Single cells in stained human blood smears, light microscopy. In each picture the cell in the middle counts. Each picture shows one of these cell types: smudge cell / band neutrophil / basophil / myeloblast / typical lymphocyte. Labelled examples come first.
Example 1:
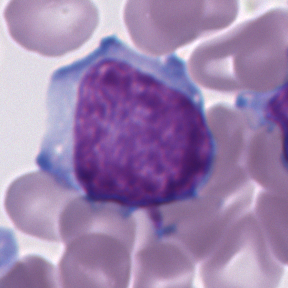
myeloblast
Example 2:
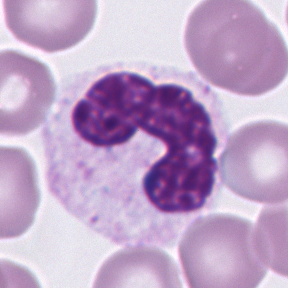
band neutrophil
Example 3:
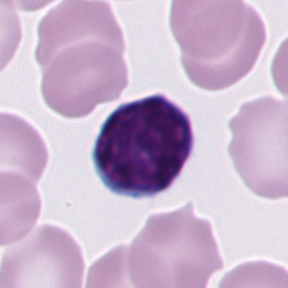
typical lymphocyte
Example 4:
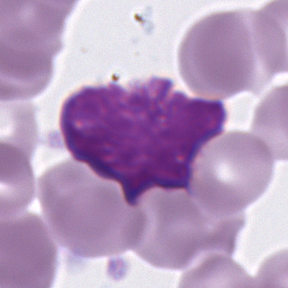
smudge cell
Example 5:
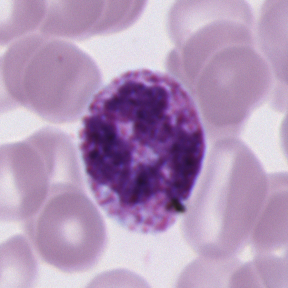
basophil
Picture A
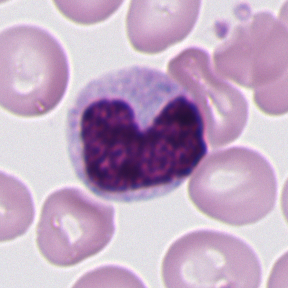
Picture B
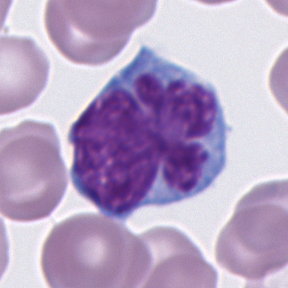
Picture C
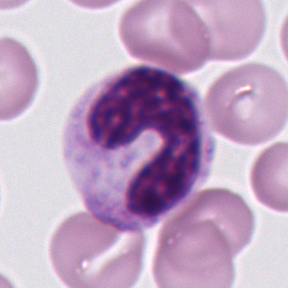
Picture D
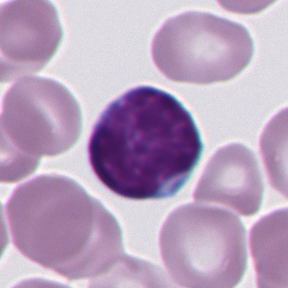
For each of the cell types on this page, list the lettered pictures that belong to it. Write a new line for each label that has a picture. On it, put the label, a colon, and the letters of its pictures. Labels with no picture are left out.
band neutrophil: A, C
myeloblast: B
typical lymphocyte: D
